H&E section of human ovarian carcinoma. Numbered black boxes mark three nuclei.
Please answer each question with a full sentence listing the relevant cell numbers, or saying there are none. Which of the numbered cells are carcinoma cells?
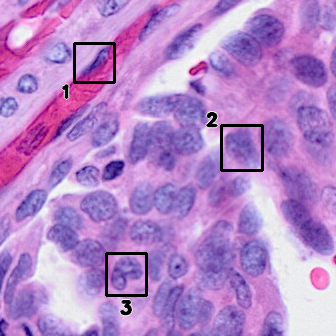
Cell 2 is a carcinoma cell, while all remaining marked cells are of other types.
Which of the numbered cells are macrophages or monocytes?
Cell number 3 alone is a macrophage or monocyte; the rest are not.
